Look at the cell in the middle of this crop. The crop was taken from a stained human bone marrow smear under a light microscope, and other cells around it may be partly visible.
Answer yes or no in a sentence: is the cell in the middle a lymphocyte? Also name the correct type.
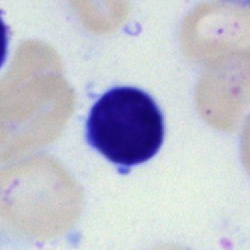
Yes, the cell at the centre of this crop is identified as a lymphocyte.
